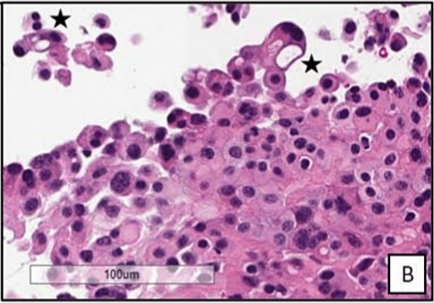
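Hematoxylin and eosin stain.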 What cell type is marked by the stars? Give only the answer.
blister cells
